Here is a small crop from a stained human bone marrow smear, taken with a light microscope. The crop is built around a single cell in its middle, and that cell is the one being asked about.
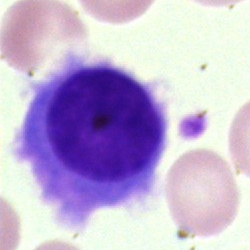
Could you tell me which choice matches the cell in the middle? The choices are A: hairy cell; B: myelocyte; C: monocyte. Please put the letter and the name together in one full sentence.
Option A is correct; the cell in the middle is a hairy cell.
